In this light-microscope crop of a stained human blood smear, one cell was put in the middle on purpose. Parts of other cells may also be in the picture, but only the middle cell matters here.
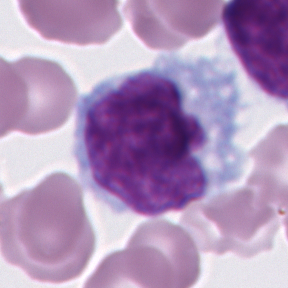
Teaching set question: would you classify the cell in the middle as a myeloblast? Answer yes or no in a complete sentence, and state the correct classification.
No, the identification should read a hairy cell, not a myeloblast, for the central cell.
